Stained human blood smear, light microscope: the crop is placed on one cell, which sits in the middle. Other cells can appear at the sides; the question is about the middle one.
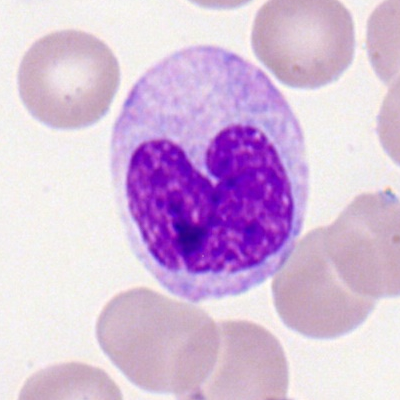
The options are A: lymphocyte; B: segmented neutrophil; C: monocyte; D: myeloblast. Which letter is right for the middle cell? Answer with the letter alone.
C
